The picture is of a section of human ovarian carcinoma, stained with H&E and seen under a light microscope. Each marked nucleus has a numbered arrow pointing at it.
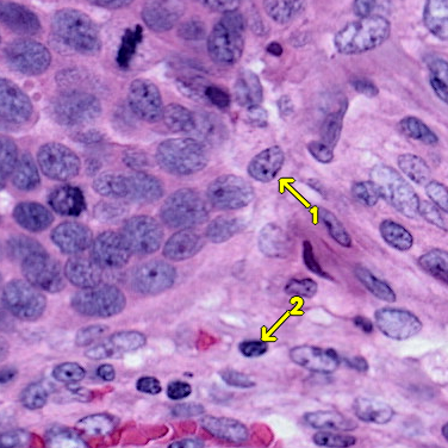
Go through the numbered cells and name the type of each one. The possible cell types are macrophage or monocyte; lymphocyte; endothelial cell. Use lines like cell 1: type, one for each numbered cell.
cell 1: macrophage or monocyte
cell 2: lymphocyte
